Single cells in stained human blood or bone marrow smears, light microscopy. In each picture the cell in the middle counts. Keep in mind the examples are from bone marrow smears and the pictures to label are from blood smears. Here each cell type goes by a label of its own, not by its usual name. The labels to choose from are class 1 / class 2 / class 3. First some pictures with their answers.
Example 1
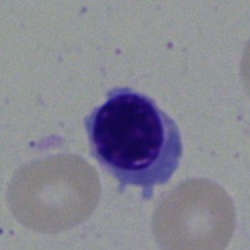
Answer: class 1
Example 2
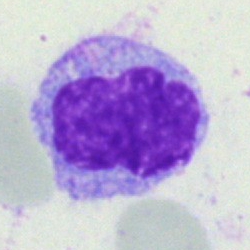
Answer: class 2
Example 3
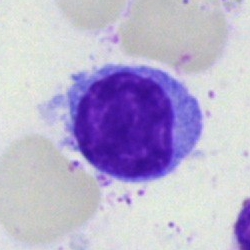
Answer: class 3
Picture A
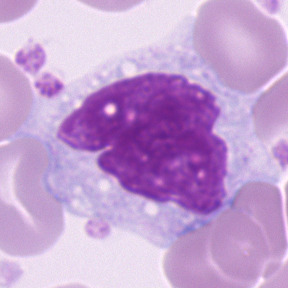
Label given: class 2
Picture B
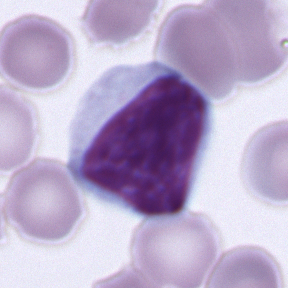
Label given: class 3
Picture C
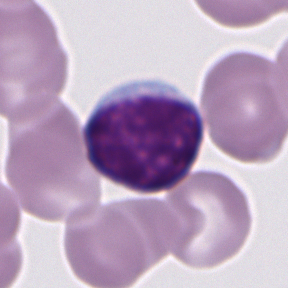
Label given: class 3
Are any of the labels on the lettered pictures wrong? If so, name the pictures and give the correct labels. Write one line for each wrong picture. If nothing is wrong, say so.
Every label is right.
